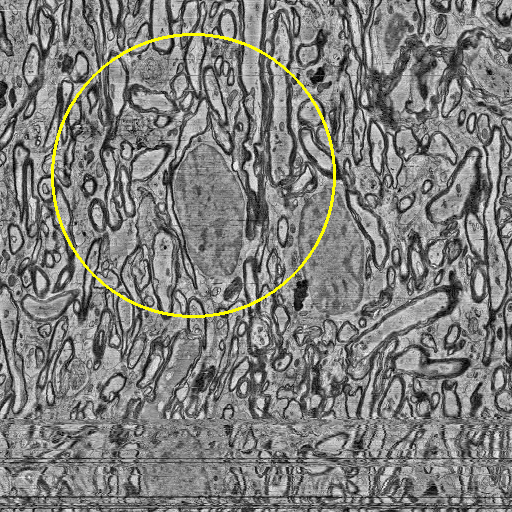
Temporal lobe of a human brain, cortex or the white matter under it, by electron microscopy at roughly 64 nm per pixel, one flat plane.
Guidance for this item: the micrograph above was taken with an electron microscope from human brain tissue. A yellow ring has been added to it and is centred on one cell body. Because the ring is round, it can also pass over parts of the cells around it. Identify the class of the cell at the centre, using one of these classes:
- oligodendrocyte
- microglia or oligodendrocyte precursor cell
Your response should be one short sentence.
The ring surrounds the body of an oligodendrocyte.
